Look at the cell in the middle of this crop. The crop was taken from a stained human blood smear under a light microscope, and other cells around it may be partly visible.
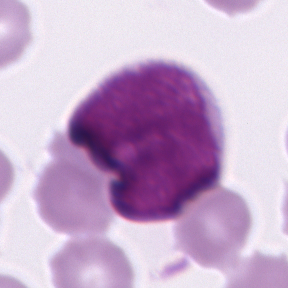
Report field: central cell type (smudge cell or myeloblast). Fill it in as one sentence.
At the center of the crop sits a myeloblast.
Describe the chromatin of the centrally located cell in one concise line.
The chromatin is fine; coarse clumps are not a feature here.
